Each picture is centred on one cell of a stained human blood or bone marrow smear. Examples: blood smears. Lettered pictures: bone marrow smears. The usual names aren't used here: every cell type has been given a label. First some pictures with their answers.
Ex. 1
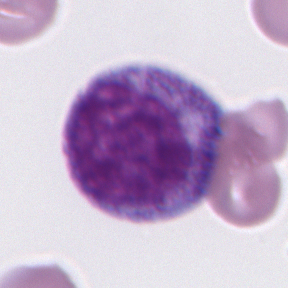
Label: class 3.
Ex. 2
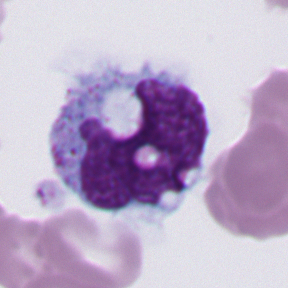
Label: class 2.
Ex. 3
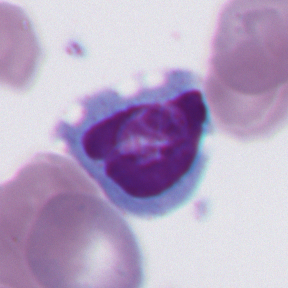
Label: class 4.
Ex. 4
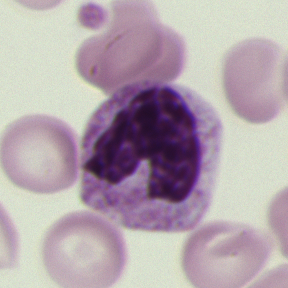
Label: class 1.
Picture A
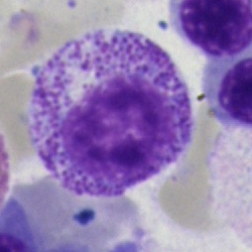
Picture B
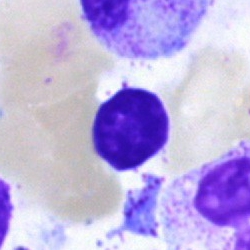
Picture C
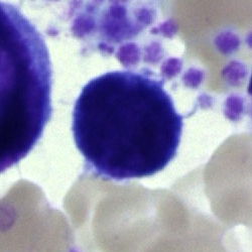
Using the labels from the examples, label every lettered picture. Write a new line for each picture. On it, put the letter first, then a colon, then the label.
A: class 3.
B: class 4.
C: class 4.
